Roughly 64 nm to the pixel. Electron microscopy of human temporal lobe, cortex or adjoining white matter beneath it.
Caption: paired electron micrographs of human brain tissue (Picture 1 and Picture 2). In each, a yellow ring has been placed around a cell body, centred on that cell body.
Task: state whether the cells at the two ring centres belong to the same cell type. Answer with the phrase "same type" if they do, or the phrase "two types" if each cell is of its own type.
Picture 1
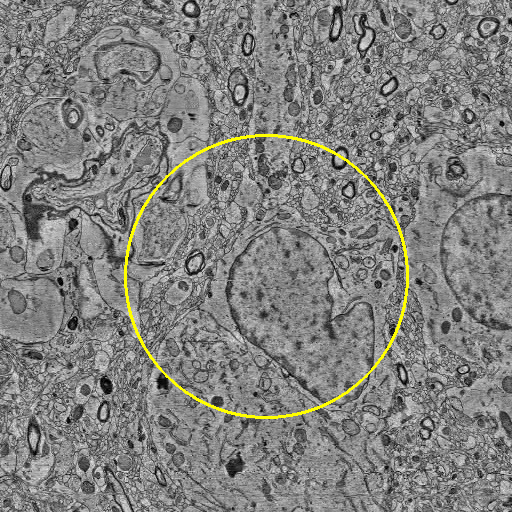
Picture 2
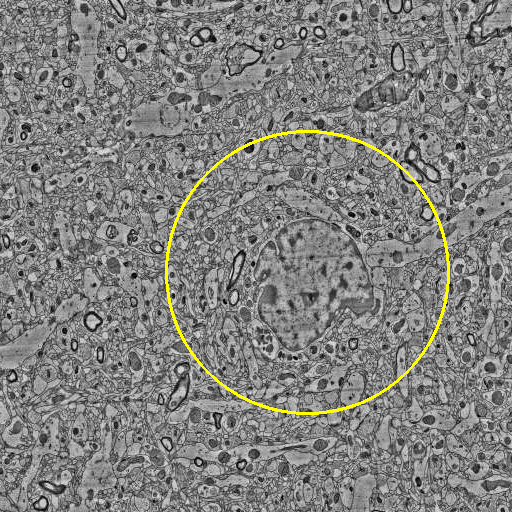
same type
